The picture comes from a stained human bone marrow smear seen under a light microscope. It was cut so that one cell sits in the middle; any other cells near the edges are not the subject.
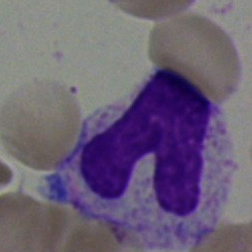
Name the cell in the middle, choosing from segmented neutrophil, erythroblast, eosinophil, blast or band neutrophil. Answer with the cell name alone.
band neutrophil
